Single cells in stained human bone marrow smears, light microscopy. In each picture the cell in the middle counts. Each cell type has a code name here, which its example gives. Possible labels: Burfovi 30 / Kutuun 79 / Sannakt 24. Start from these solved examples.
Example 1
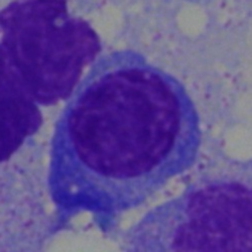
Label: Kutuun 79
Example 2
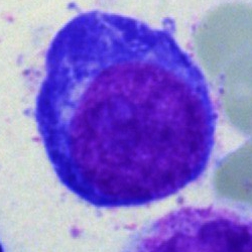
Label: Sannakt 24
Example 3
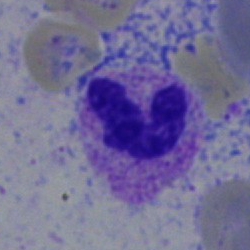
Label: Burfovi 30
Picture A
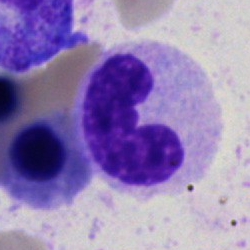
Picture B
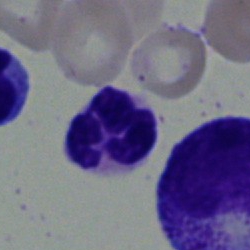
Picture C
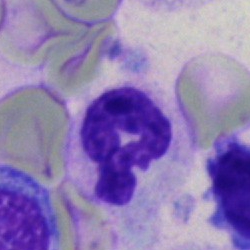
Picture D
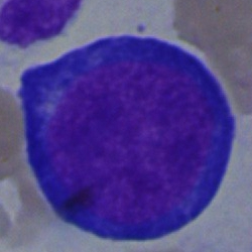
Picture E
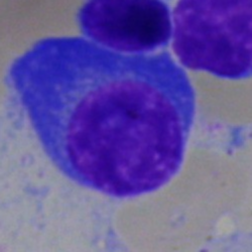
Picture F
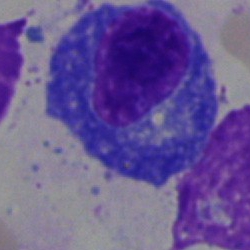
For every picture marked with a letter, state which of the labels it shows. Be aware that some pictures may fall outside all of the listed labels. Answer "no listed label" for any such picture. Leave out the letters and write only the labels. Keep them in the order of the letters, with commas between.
no listed label, Burfovi 30, Burfovi 30, Sannakt 24, Kutuun 79, Kutuun 79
